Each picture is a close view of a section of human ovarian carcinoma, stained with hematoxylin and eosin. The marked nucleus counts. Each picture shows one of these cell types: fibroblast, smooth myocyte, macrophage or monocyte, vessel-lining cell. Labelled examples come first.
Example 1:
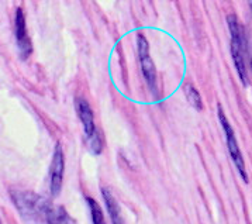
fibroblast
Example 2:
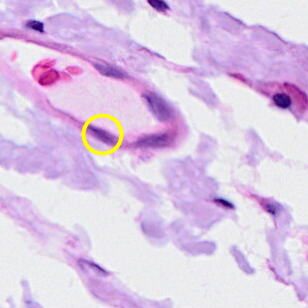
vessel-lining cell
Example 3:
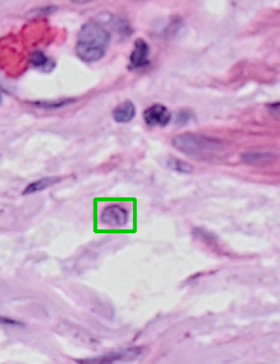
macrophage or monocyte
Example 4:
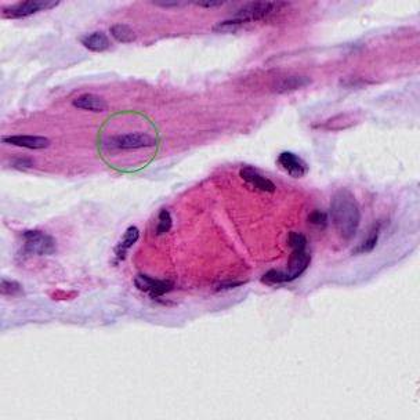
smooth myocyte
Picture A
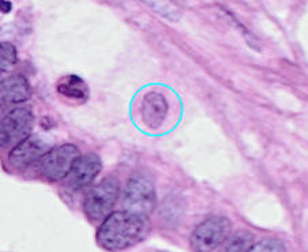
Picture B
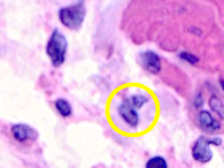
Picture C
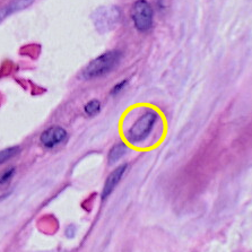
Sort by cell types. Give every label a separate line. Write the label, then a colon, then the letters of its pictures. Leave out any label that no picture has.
macrophage or monocyte: A, B
vessel-lining cell: C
